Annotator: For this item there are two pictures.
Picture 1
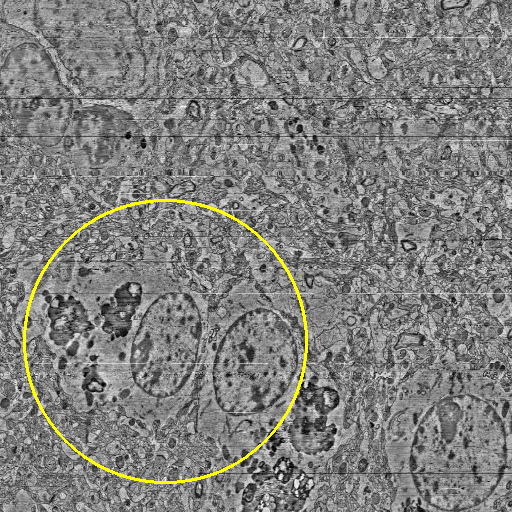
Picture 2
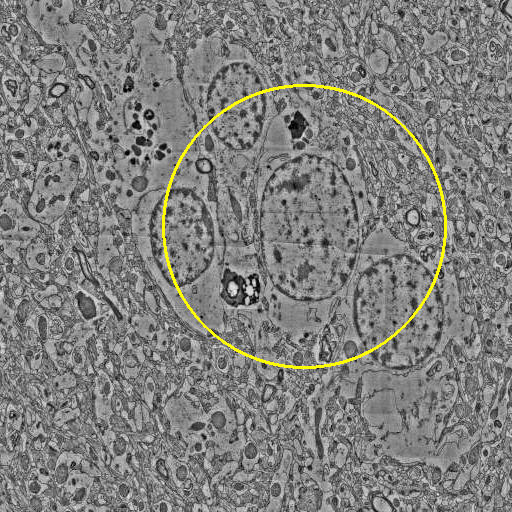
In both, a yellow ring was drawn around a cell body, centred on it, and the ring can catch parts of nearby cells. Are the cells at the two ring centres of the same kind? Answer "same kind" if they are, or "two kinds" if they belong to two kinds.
same kind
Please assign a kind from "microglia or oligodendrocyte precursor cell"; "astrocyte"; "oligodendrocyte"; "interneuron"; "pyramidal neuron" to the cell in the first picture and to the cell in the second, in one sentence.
The first and the second cell are each an astrocyte.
